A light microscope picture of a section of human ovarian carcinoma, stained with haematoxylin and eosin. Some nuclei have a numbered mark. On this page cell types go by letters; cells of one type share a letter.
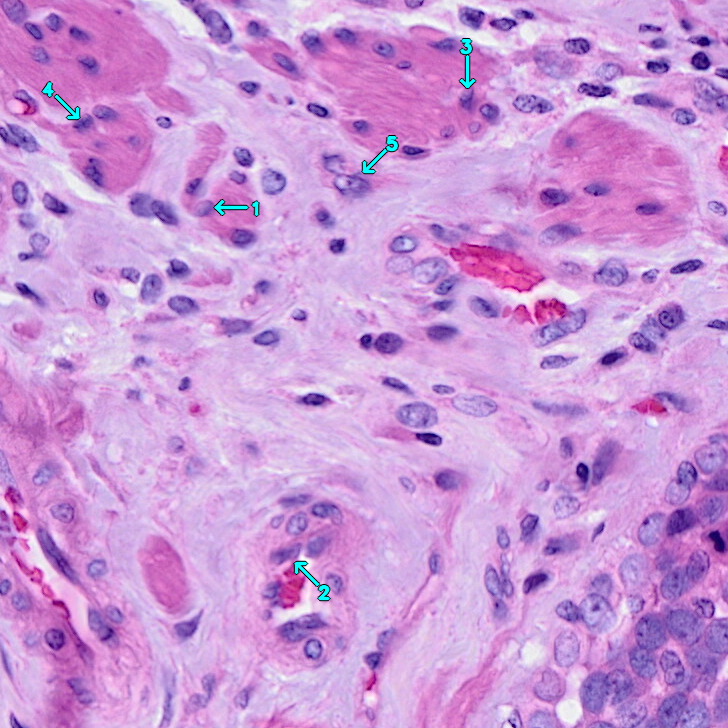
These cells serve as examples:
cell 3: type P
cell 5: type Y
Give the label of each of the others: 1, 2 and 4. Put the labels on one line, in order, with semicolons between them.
type P; type Y; type P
